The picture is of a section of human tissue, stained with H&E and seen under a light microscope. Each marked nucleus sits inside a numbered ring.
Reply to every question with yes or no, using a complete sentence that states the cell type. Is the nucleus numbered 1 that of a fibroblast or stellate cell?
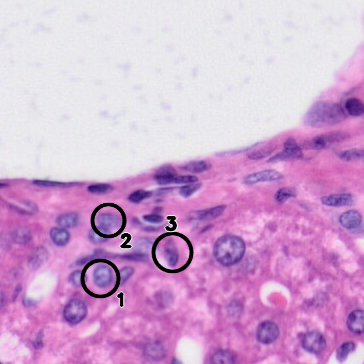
No, sorry, the cell labelled 1 is not a fibroblast or stellate cell; it is a cholangiocyte.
